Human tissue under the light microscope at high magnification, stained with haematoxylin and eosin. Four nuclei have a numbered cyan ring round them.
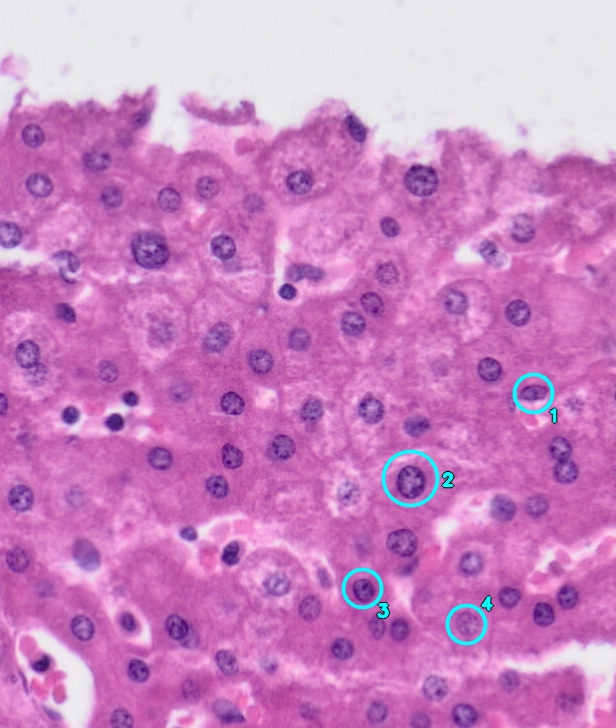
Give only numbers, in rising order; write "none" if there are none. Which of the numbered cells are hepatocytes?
2, 3, 4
